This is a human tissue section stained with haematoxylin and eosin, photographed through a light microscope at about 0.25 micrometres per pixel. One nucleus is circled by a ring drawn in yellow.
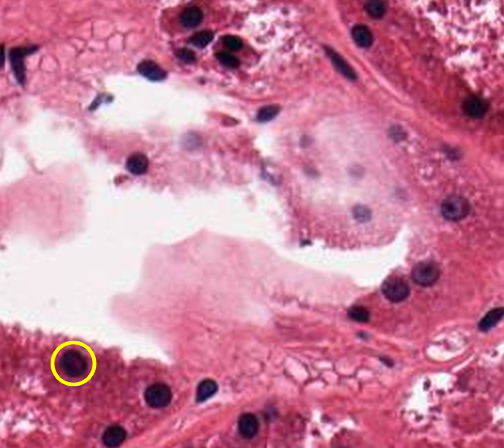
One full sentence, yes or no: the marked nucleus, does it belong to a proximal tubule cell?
Yes, the marked nucleus is to be read as that of a proximal tubule cell.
